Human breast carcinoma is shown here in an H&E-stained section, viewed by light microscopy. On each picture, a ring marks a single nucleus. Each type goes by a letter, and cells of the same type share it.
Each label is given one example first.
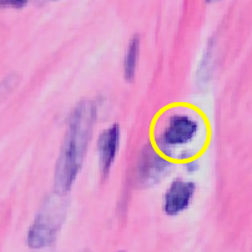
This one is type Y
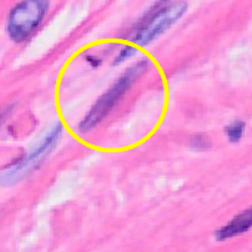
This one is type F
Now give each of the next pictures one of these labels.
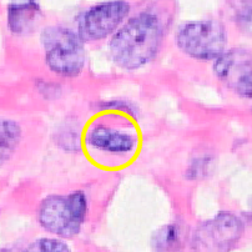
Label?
type F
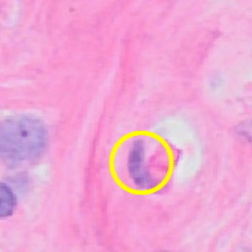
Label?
type F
